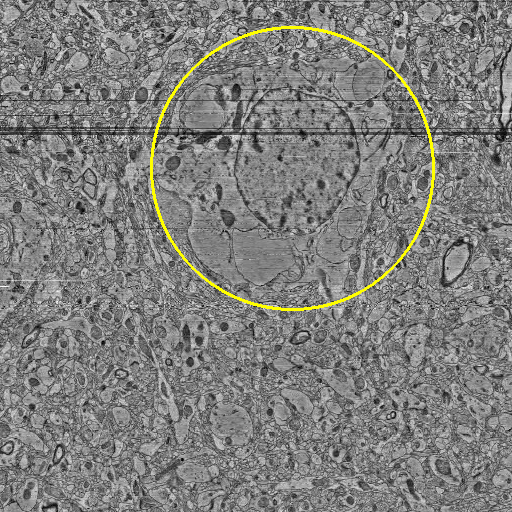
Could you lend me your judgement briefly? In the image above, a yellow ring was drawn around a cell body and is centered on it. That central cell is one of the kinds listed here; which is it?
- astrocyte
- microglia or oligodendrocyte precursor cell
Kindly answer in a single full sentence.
Going by the list, an astrocyte is the kind at the ring's center in the picture.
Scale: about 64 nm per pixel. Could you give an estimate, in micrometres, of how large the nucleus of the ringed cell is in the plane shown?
The ringed cell's nucleus measures approximately 9 by 8 micrometres in this plane.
